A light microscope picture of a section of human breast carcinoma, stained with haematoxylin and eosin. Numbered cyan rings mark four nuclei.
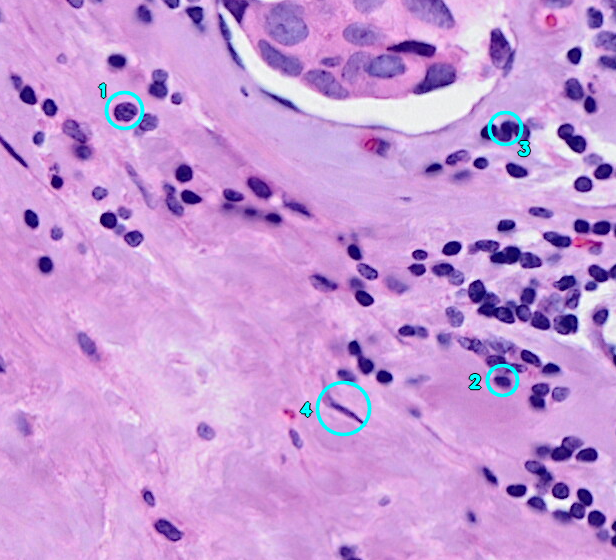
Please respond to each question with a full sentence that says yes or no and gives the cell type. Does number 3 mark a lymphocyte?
Yes, it is a lymphocyte that number 3 identifies.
